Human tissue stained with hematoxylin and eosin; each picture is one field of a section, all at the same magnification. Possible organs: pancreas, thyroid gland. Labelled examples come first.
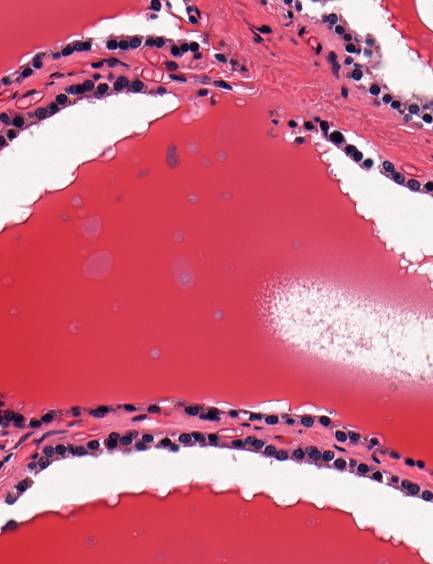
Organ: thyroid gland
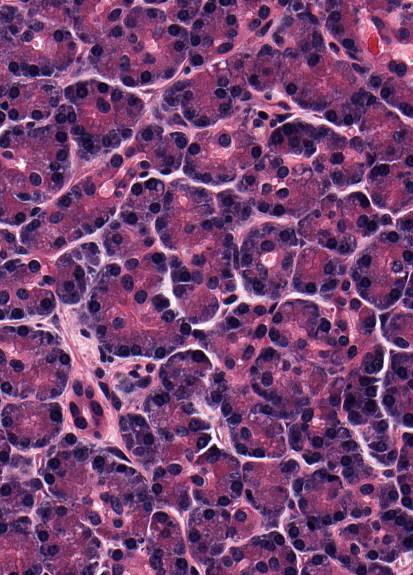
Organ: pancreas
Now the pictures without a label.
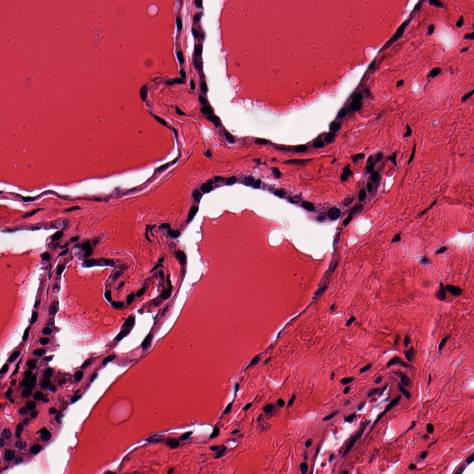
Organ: thyroid gland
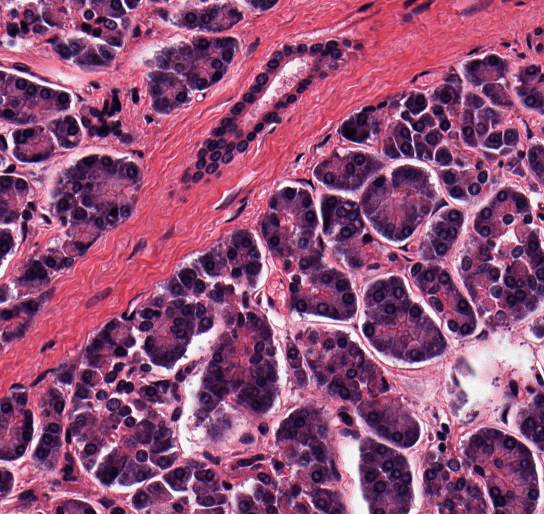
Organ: pancreas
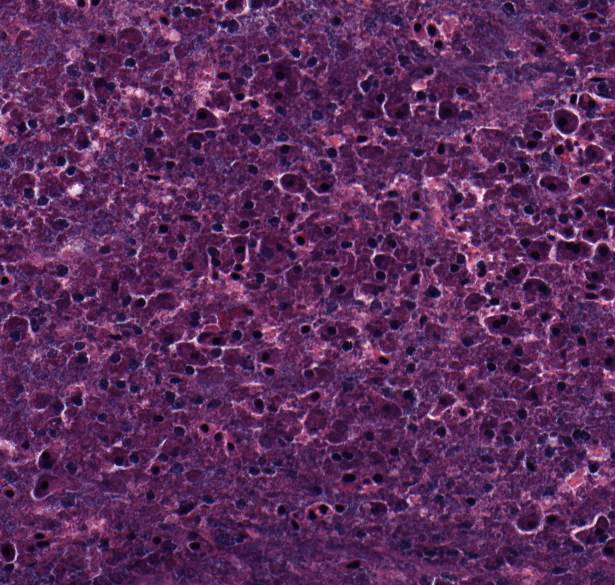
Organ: pancreas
